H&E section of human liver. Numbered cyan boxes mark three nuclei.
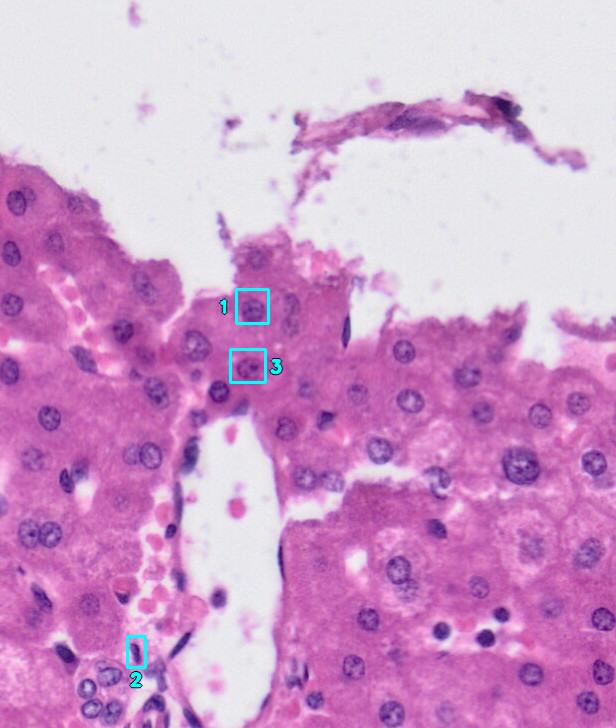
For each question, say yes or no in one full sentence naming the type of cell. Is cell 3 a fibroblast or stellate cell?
No, the cell given number 3 is a hepatocyte, as opposed to a fibroblast or stellate cell.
